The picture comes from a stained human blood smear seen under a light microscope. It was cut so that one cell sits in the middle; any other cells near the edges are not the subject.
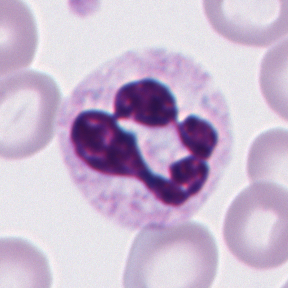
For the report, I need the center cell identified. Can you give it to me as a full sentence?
This particular crop is centered on a segmented neutrophil.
